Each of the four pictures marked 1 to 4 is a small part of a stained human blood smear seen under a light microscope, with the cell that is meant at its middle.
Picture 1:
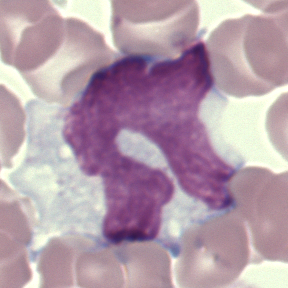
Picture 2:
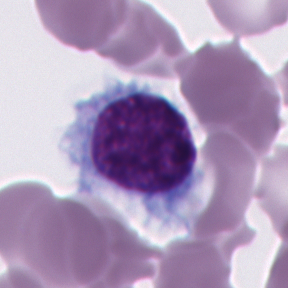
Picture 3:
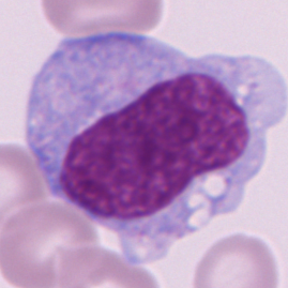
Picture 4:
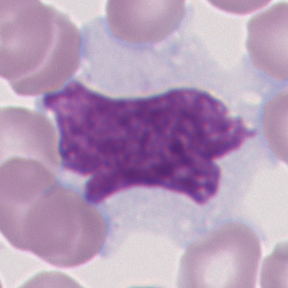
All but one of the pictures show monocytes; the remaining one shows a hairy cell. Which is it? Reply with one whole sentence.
The cell in picture 2 is the hairy cell.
